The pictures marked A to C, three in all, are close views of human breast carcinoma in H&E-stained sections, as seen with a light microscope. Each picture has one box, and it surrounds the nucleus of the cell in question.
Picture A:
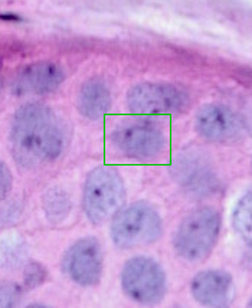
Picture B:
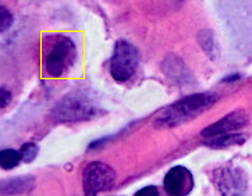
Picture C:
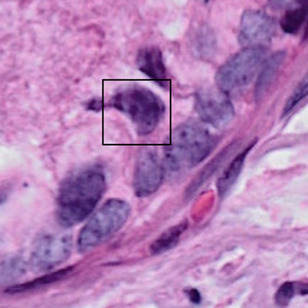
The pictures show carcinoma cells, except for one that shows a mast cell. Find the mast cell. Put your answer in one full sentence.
The picture with the mast cell is B.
